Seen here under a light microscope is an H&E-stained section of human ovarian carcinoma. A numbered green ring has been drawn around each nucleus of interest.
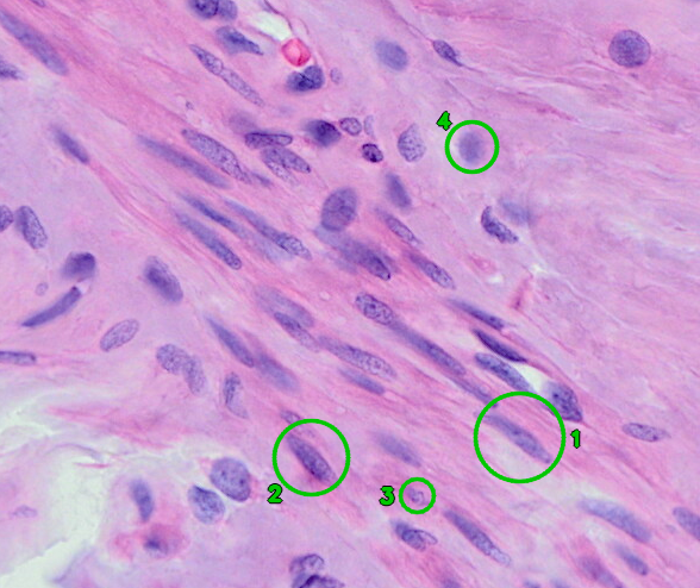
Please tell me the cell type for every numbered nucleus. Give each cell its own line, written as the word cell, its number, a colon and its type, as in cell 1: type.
cell 1: smooth muscle cell
cell 2: smooth muscle cell
cell 3: smooth muscle cell
cell 4: fibroblast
